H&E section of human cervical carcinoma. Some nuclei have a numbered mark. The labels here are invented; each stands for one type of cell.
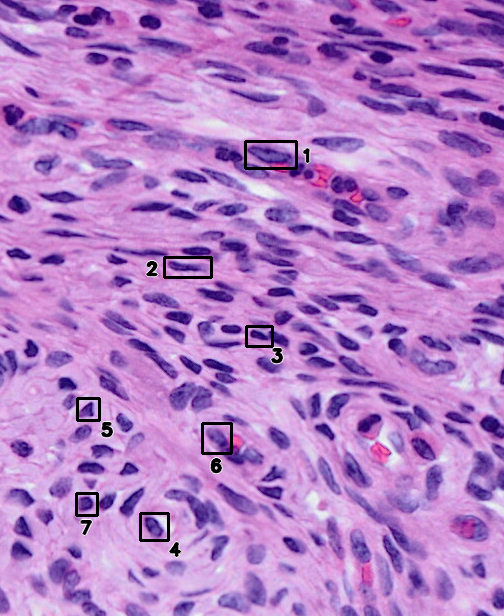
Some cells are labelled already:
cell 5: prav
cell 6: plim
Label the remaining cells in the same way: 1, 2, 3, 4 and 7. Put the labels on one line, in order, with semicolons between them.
plim; prav; prav; plim; prav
